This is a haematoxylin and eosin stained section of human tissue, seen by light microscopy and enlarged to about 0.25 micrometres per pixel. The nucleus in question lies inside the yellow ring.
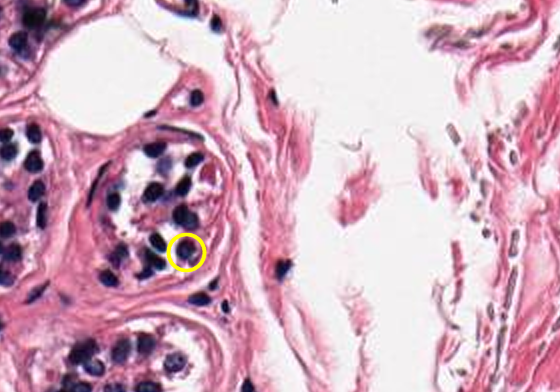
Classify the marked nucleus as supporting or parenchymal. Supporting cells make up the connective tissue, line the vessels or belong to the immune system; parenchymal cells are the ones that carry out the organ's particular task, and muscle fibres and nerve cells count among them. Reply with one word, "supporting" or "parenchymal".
parenchymal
